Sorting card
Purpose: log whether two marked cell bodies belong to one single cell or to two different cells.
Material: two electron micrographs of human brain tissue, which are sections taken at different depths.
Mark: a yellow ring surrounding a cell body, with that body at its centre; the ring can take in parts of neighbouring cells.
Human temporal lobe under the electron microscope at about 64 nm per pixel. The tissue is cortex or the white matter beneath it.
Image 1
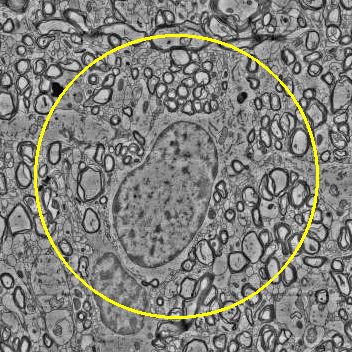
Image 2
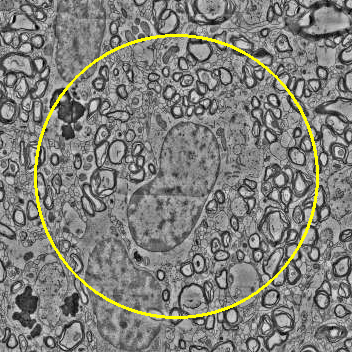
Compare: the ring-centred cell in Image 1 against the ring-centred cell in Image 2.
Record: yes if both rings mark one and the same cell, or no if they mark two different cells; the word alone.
yes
